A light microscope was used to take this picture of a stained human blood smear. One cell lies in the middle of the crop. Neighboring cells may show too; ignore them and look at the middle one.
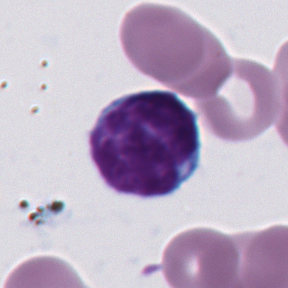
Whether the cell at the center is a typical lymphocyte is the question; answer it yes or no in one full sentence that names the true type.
Yes, the cell at the middle of the field is to be classed as a typical lymphocyte.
